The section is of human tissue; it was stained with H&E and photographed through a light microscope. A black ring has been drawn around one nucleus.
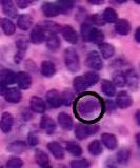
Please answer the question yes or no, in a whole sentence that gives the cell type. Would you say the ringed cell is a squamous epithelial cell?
No, the ringed cell is best named a small lymphocyte, not a squamous epithelial cell.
